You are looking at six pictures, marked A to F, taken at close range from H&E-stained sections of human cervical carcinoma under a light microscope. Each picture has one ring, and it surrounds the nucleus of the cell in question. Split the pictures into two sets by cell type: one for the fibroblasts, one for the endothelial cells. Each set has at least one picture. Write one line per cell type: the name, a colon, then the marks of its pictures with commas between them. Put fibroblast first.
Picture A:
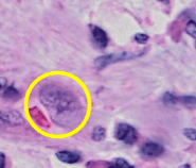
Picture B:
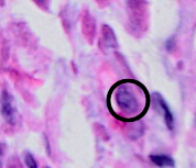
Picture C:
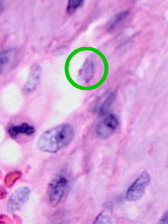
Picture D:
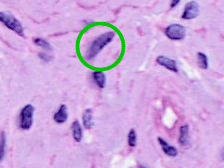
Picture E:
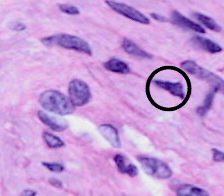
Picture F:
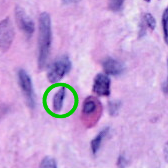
fibroblast: D, E, F
endothelial cell: A, B, C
